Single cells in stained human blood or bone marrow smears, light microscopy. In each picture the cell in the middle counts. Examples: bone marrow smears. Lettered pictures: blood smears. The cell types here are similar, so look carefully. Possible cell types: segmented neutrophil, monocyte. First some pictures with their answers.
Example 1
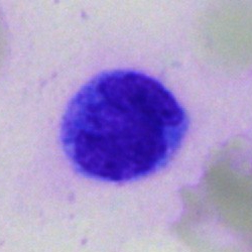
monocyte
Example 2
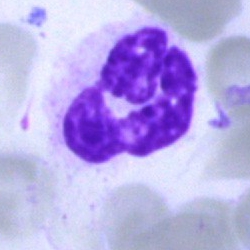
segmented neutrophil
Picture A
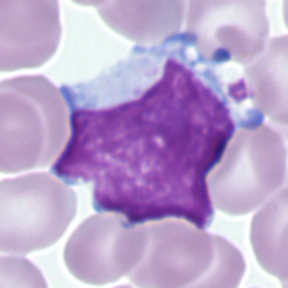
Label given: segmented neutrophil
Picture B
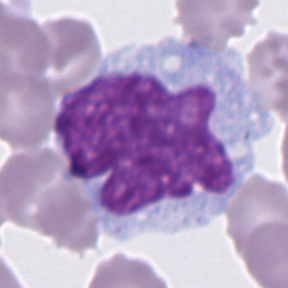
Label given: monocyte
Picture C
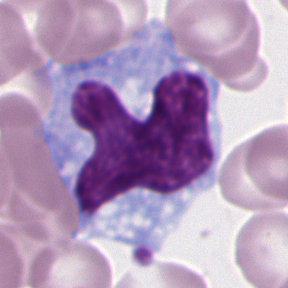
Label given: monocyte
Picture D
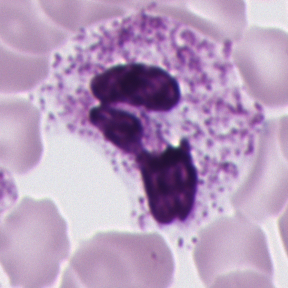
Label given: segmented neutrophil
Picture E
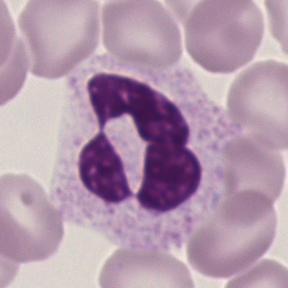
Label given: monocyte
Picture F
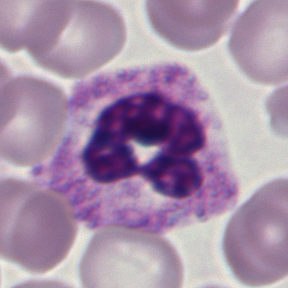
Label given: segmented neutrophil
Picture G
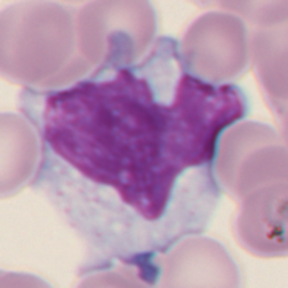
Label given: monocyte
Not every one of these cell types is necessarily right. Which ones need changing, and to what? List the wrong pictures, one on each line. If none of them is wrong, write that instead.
A: monocyte, not segmented neutrophil
E: segmented neutrophil, not monocyte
